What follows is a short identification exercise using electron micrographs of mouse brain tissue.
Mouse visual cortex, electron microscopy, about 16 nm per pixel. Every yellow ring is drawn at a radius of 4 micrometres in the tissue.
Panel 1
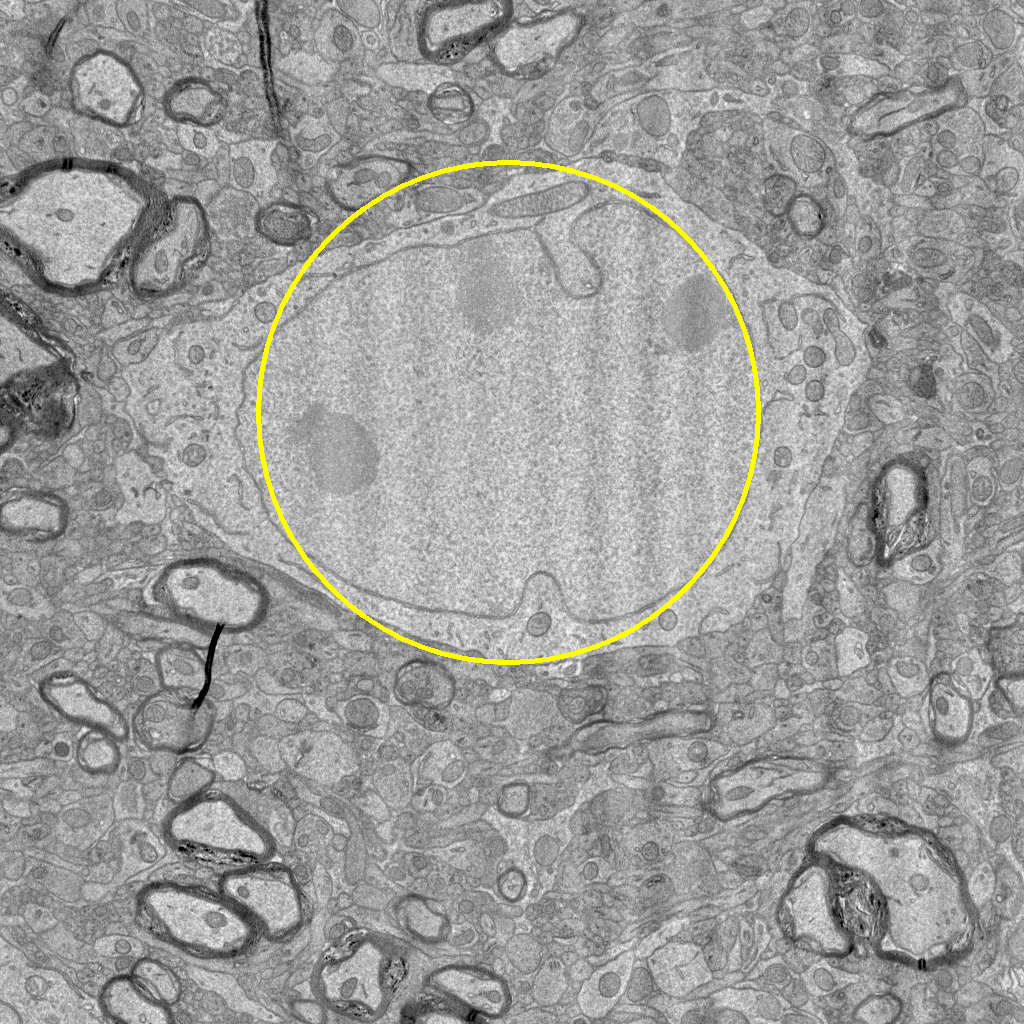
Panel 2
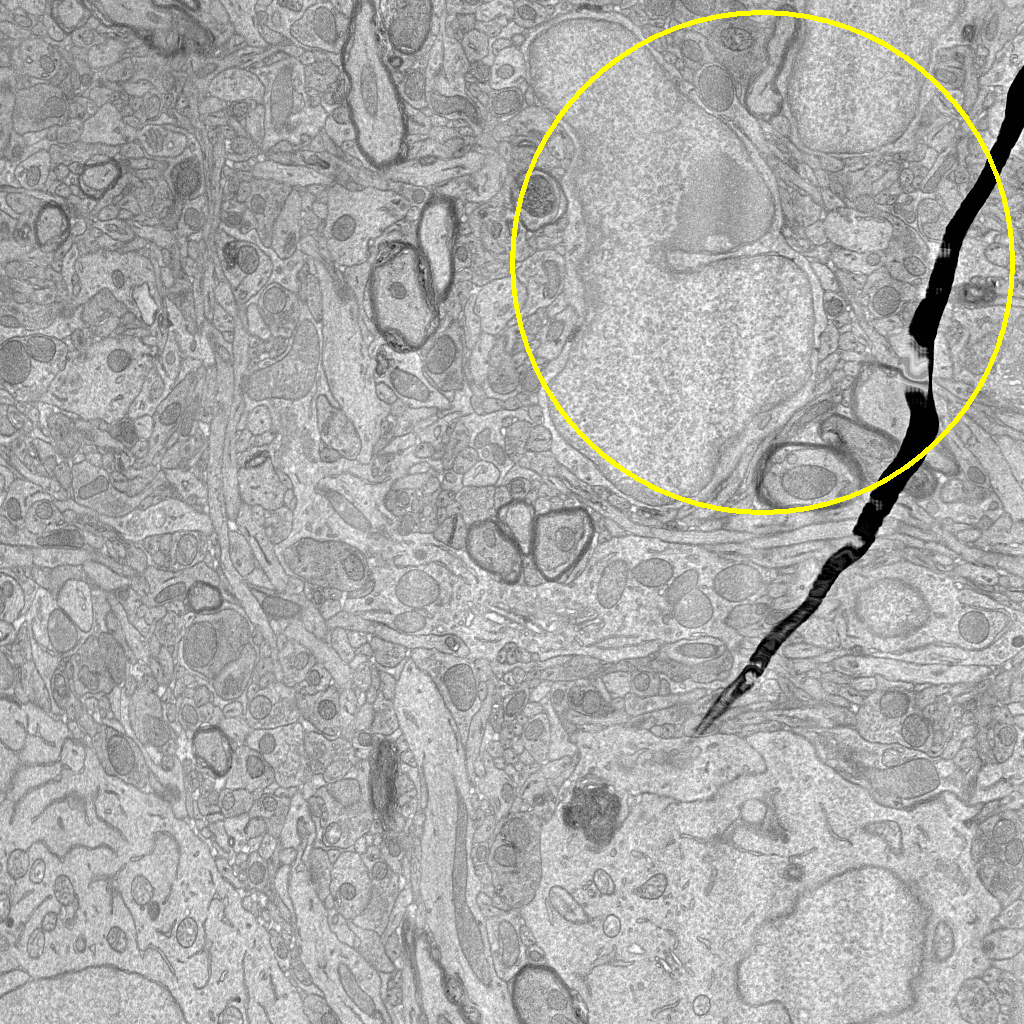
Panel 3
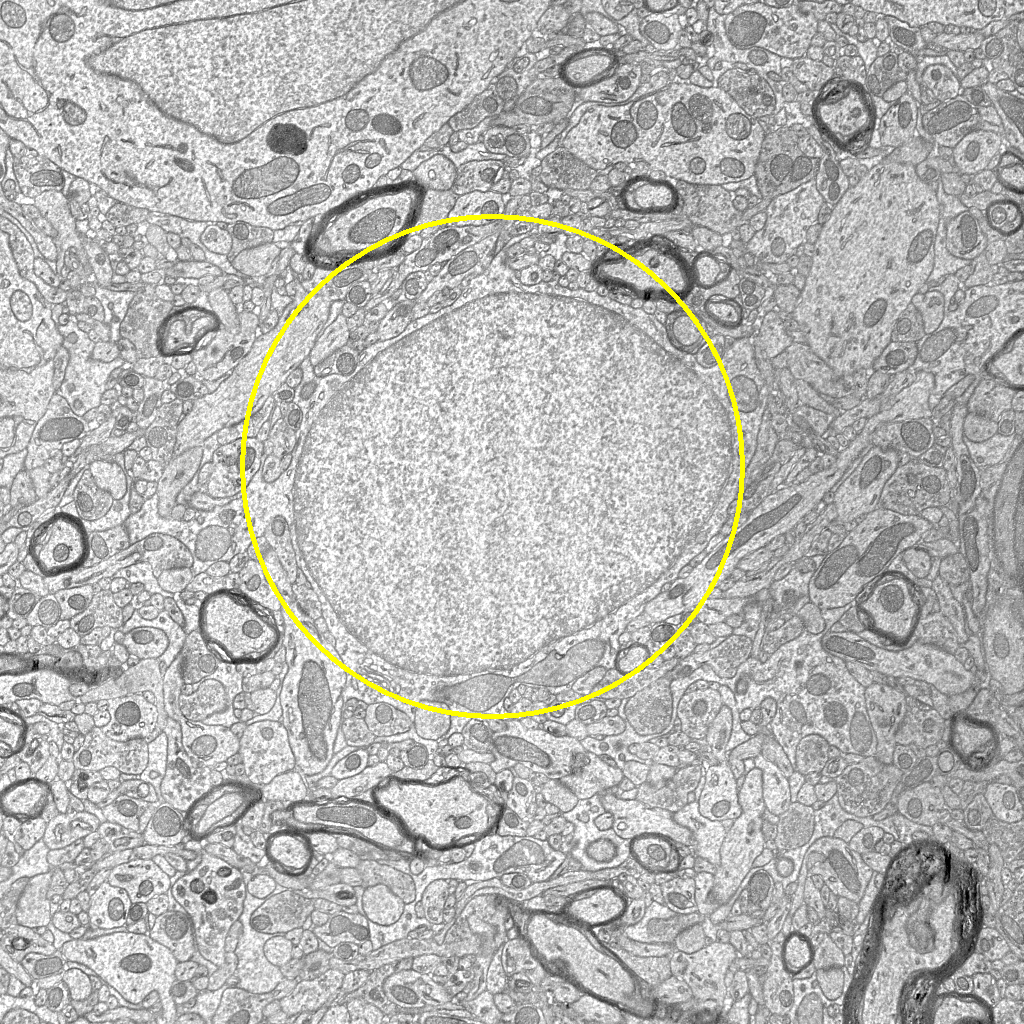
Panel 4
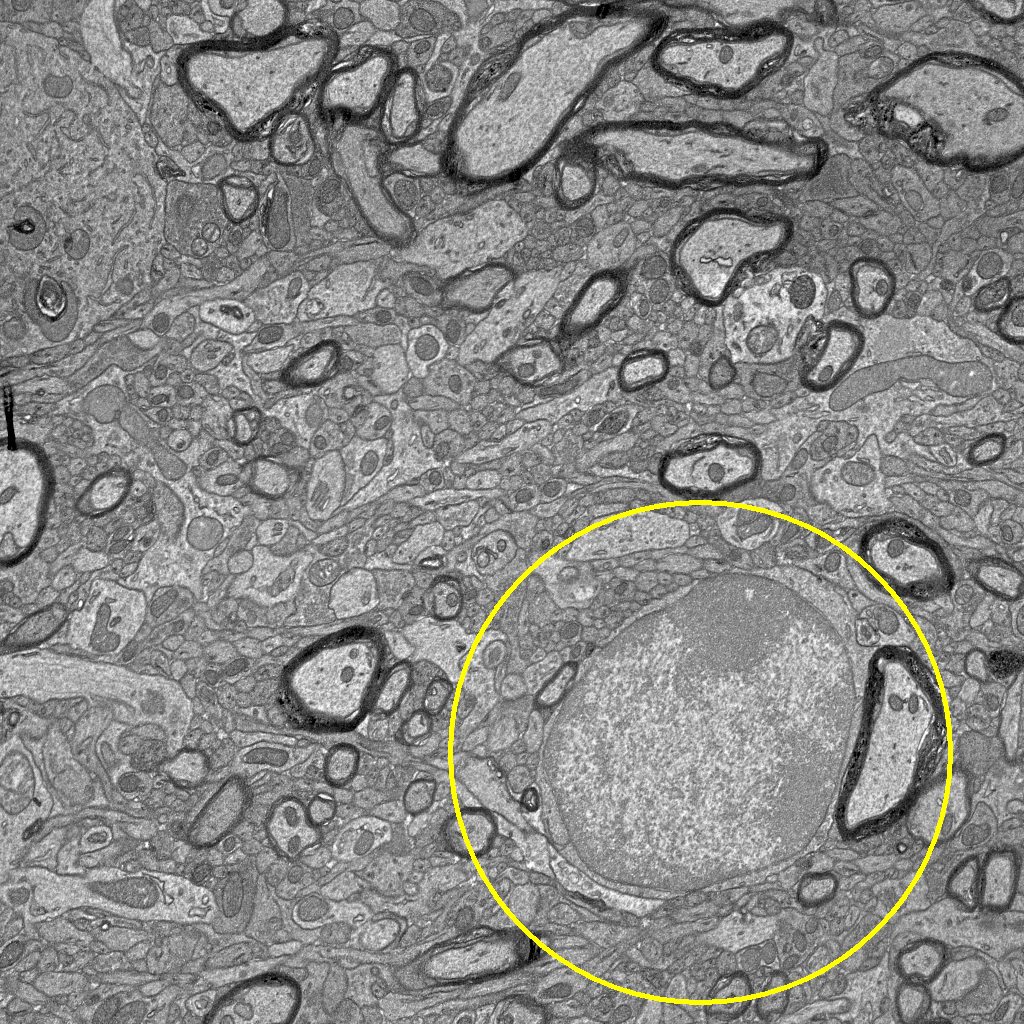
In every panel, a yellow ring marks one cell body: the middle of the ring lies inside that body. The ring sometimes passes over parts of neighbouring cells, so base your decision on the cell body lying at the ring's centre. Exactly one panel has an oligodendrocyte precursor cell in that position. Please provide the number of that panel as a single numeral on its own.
2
